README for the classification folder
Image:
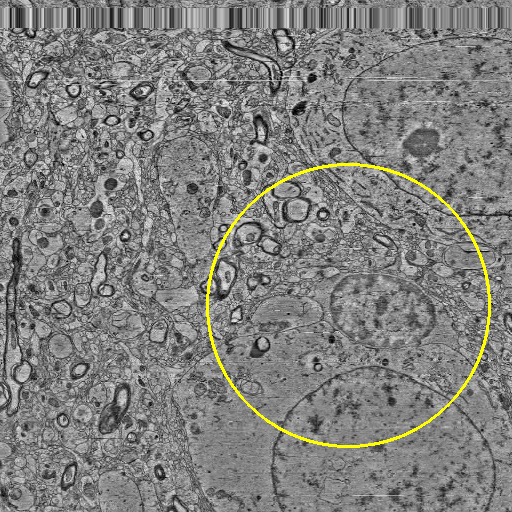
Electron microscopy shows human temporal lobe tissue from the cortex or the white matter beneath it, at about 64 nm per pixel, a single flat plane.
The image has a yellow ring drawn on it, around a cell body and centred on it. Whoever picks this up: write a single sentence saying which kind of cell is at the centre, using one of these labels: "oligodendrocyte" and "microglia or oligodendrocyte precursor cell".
This cell body is that of an oligodendrocyte.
